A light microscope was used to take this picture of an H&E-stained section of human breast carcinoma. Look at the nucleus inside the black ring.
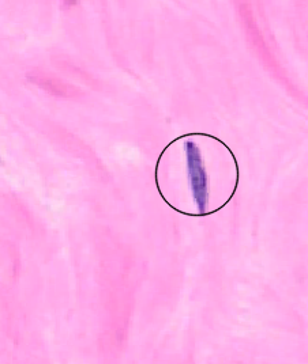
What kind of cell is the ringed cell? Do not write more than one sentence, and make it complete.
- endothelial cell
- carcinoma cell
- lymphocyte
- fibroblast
As a matter of cell type, the ringed cell is a fibroblast.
